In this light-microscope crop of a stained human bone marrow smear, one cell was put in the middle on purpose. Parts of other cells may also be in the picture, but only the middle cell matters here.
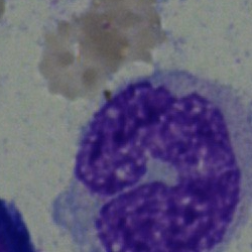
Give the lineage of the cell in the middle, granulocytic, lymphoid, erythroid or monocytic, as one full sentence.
The monocytic lineage includes the cell at the center of the crop.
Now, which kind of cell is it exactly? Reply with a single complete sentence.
Positioned in the middle of the crop is a monocyte.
